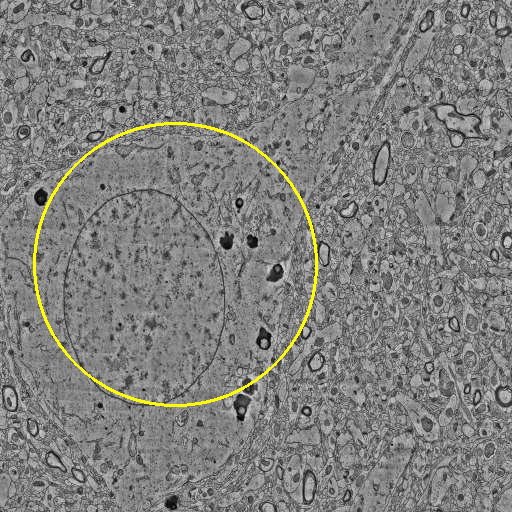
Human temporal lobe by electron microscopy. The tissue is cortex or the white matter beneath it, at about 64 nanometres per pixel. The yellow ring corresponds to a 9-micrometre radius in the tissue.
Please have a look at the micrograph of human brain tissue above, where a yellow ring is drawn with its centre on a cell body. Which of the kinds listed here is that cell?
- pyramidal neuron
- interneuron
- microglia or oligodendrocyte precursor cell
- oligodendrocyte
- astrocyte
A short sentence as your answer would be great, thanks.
At the centre of the ring sits a pyramidal neuron.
